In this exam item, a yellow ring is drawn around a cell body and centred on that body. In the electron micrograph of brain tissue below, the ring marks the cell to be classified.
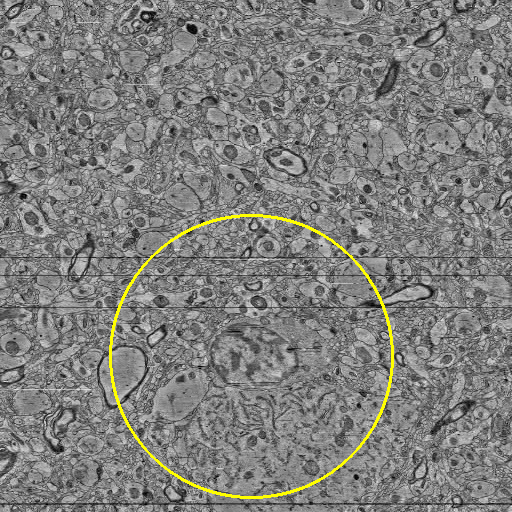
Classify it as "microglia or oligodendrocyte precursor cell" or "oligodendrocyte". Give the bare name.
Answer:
oligodendrocyte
